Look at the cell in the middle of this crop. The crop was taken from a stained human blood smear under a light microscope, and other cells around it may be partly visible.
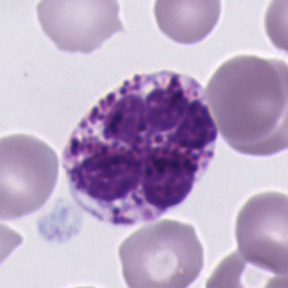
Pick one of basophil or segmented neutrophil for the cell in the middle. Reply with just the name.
basophil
